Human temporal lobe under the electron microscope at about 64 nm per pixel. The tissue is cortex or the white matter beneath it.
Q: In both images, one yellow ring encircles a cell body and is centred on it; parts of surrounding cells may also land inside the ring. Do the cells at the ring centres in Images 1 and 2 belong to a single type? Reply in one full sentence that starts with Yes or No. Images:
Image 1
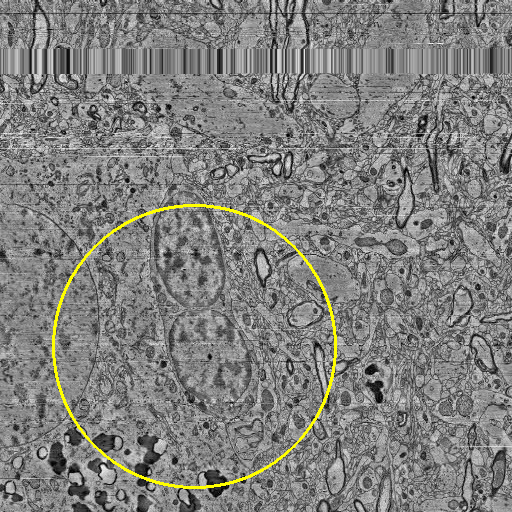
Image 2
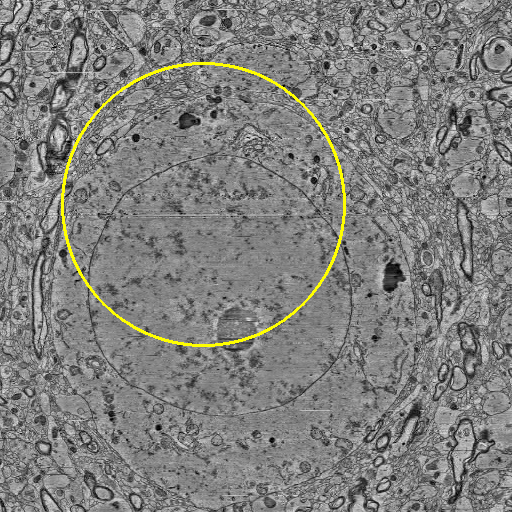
No, the cells at the ring centres in Images 1 and 2 are of two types.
